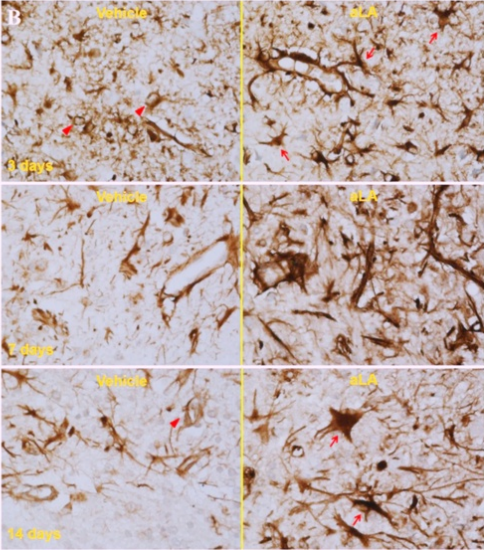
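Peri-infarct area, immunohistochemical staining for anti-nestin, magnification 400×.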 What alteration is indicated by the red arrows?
stellar shape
